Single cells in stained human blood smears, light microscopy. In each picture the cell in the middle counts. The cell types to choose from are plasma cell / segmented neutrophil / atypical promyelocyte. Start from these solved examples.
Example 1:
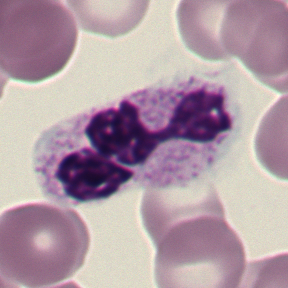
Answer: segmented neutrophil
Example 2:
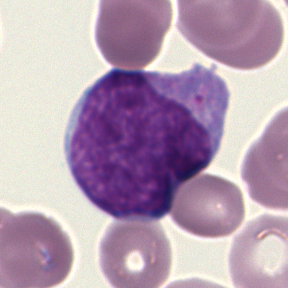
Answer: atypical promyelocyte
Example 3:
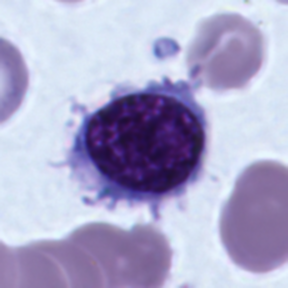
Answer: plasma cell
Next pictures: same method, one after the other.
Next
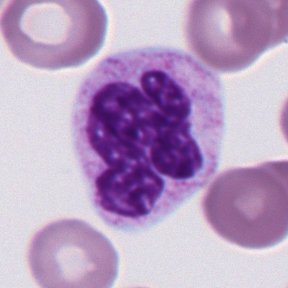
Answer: segmented neutrophil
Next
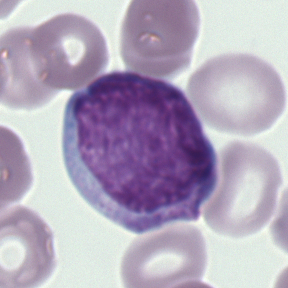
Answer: atypical promyelocyte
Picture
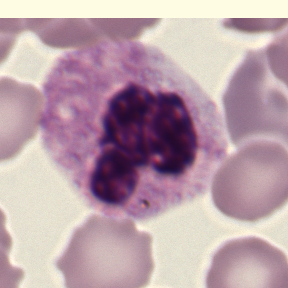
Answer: segmented neutrophil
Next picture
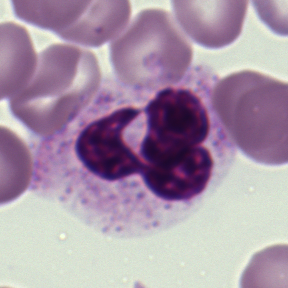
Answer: segmented neutrophil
